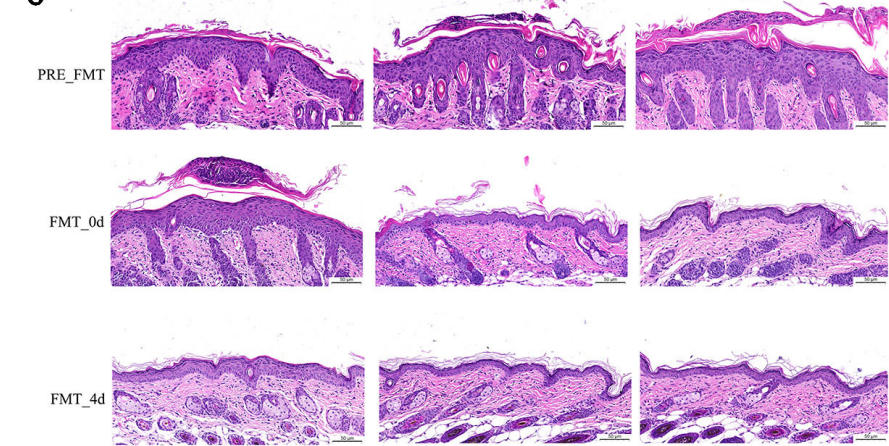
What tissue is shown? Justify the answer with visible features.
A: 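A stratified surface epithelium with purple nuclei lies over pink fibrous connective tissue. Hair follicles cut in section lie within the connective tissue. Pink lamellar layers lie on top of the epithelium, partly lifted off. On this evidence: skin.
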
